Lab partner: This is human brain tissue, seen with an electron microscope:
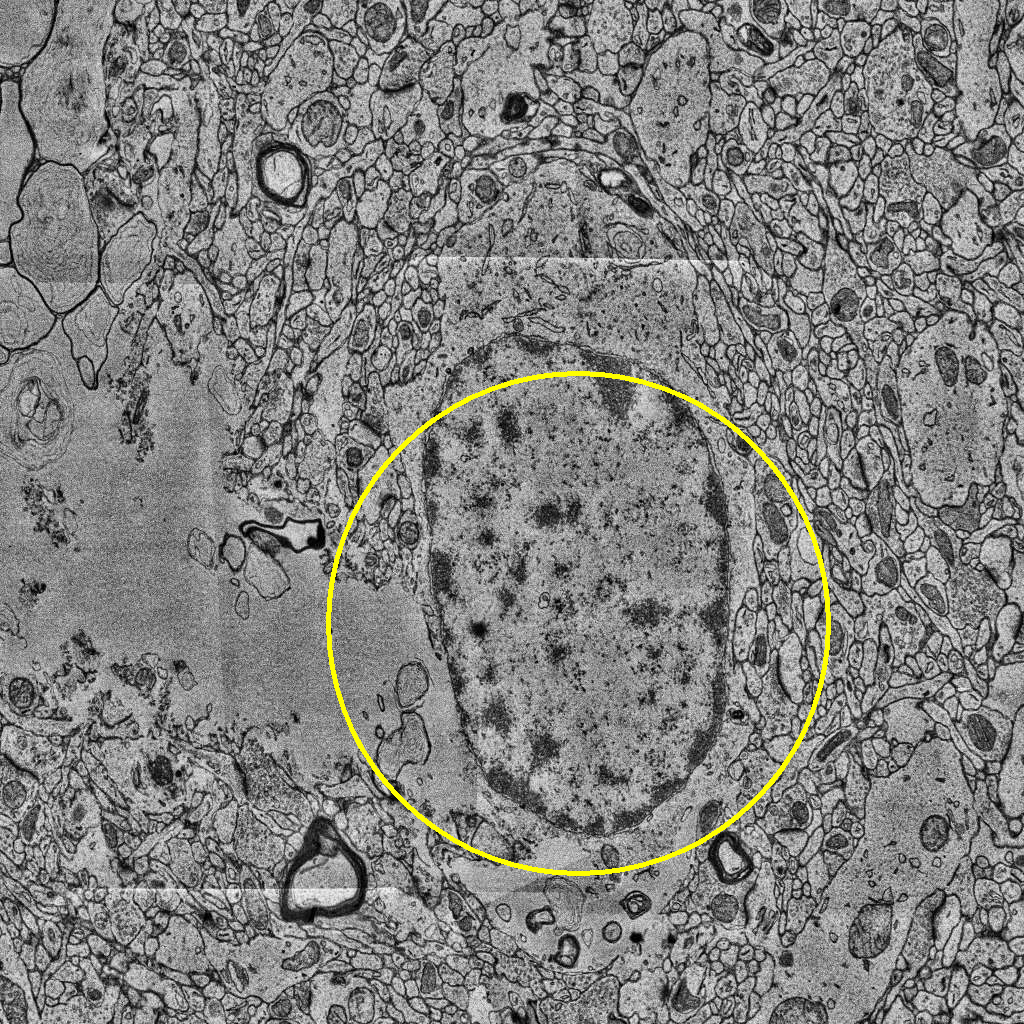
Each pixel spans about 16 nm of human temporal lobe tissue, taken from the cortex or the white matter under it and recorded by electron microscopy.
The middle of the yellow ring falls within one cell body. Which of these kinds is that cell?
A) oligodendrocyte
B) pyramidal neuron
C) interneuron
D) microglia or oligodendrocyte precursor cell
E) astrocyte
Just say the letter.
D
